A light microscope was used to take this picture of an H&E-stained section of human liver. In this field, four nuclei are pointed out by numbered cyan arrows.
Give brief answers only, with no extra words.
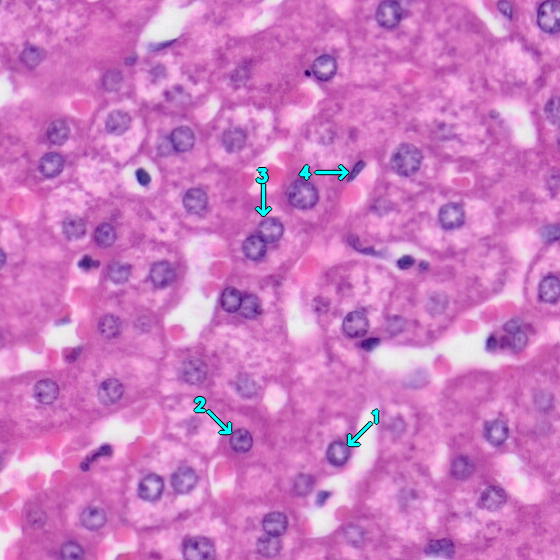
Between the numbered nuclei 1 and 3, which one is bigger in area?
3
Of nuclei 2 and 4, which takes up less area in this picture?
4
